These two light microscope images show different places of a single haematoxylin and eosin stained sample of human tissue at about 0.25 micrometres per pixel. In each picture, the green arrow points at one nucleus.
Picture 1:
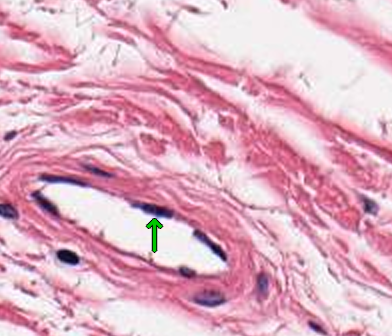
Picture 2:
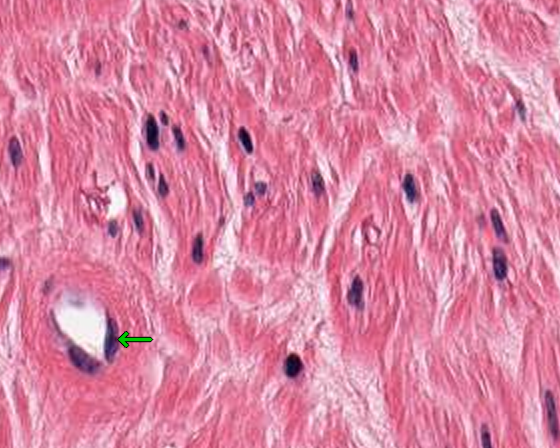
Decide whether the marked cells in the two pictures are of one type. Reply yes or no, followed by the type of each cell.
Yes, both are endothelial cells.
